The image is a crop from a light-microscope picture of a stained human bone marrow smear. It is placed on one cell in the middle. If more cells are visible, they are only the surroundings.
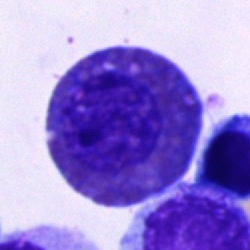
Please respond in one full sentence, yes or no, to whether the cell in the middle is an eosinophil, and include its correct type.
Yes, the cell shown in the middle is an eosinophil.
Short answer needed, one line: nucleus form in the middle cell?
A single compact nucleus is present, shaped round, oval or like a kidney.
